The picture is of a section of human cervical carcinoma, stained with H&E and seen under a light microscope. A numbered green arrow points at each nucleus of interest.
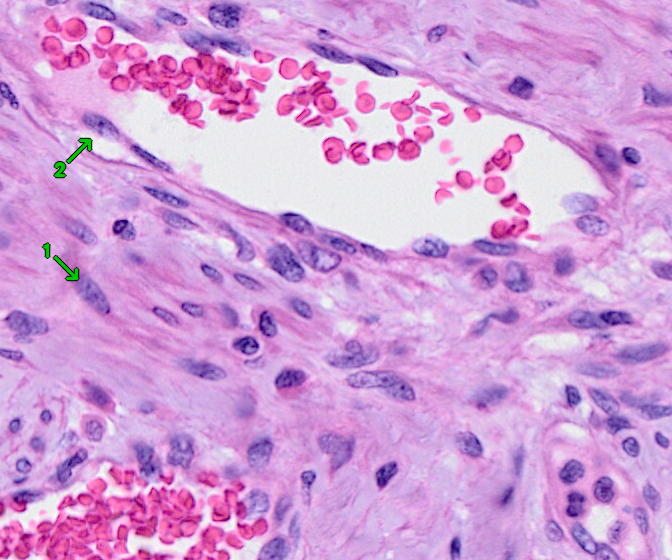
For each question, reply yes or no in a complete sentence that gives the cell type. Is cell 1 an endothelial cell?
No, it's not an endothelial cell at number 1; that cell is a smooth muscle cell.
